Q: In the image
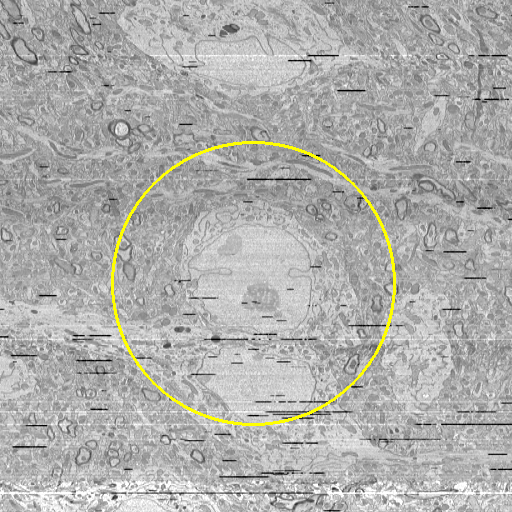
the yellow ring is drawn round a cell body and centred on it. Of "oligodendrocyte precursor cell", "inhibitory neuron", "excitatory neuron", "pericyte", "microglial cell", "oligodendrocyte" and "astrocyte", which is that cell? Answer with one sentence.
The cell centred in the ring is an inhibitory neuron.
